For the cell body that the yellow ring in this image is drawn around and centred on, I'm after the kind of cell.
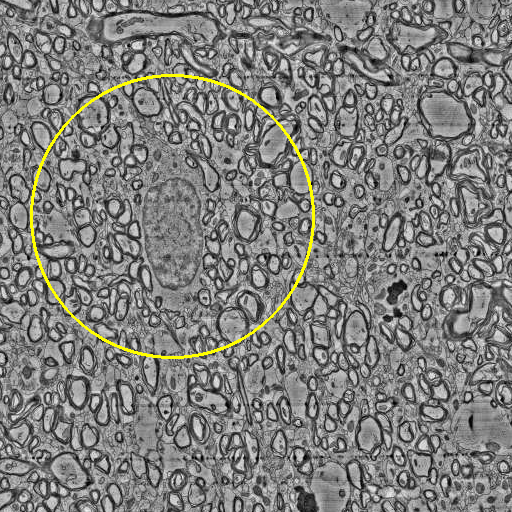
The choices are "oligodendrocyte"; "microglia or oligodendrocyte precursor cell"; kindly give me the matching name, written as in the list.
oligodendrocyte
